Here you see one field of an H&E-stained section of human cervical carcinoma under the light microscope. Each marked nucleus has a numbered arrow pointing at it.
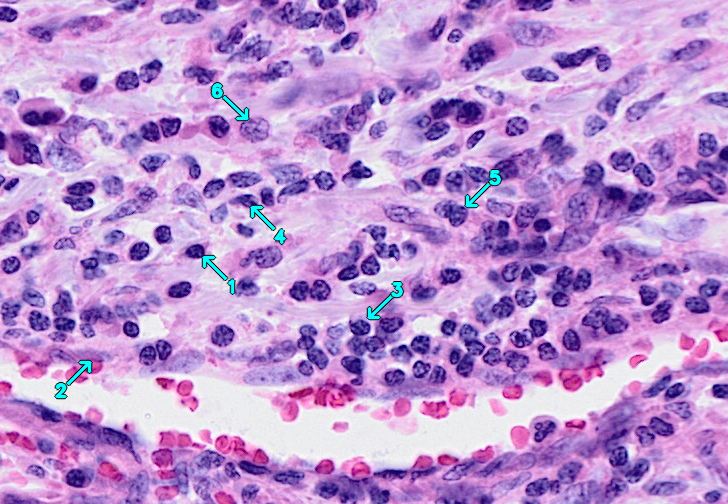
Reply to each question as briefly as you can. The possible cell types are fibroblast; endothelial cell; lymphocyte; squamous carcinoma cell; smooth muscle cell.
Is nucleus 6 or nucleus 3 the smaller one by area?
3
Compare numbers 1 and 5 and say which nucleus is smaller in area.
1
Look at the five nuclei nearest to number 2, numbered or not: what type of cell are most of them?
lymphocyte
